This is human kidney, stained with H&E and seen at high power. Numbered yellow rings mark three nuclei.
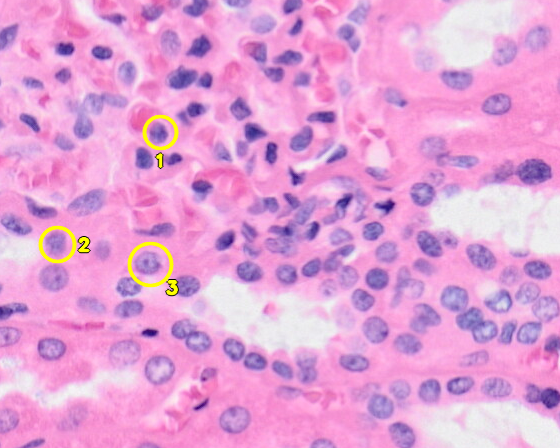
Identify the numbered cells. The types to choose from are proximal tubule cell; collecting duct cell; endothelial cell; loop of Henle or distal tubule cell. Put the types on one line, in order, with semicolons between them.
endothelial cell; loop of Henle or distal tubule cell; loop of Henle or distal tubule cell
